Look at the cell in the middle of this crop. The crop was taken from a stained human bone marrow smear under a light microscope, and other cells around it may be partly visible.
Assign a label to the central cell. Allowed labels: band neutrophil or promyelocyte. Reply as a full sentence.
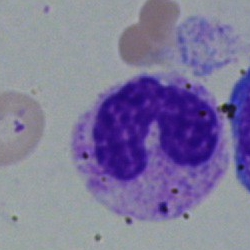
Whatever else lies nearby, the middle cell is a band neutrophil.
